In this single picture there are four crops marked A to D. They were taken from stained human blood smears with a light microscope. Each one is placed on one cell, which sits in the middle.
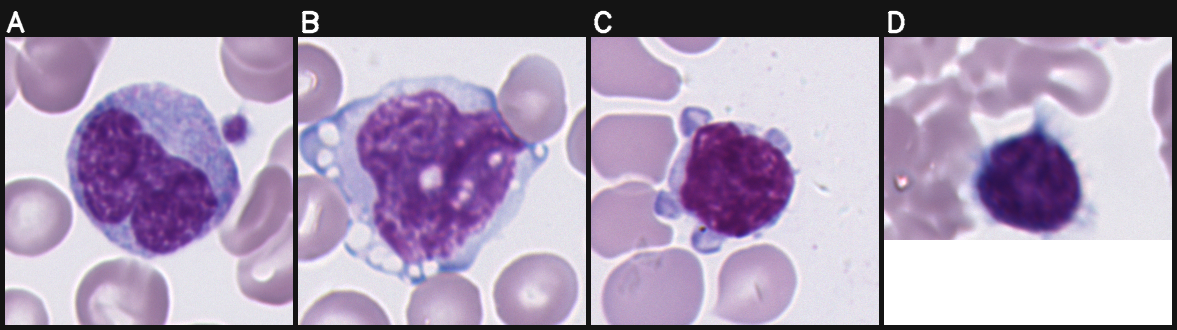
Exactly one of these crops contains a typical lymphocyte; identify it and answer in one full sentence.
The correct choice is crop C, the one showing a typical lymphocyte.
